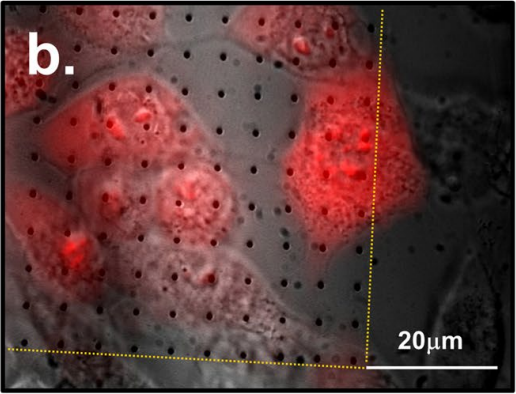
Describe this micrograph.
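Flattened, spread cultured cells with broad cytoplasm lie over a substrate marked by a regular grid of small dark dots. Cells inside the dotted region show diffuse red fluorescence through their cytoplasm with brighter spots, and round nuclei with visible nucleoli are made out; cells outside the region, at the right edge, are gray and unstained.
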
